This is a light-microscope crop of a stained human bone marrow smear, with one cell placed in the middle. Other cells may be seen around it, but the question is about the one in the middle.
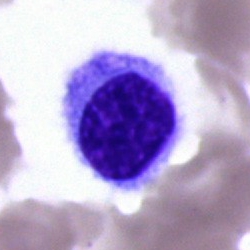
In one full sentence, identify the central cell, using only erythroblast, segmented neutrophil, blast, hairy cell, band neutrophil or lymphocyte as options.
Looking at the middle of the crop, the cell there is a hairy cell.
